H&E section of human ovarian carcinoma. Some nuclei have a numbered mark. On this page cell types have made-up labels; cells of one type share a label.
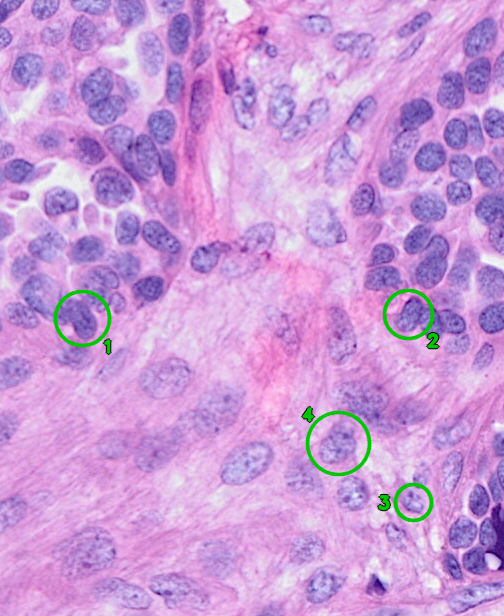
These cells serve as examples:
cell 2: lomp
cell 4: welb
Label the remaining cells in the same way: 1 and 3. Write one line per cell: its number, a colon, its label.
1: lomp
3: welb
